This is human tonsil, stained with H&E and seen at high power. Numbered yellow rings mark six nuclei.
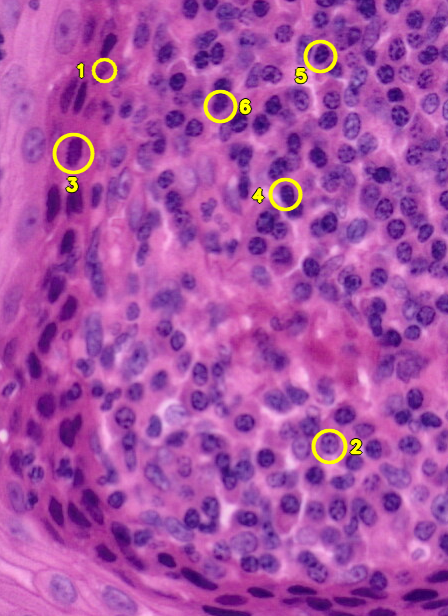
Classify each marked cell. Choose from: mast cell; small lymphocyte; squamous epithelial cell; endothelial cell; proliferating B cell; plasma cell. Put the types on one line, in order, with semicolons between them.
squamous epithelial cell; plasma cell; squamous epithelial cell; plasma cell; plasma cell; plasma cell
